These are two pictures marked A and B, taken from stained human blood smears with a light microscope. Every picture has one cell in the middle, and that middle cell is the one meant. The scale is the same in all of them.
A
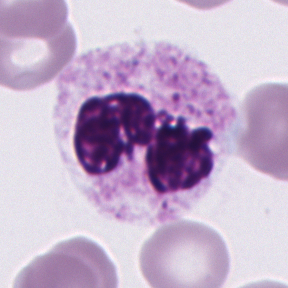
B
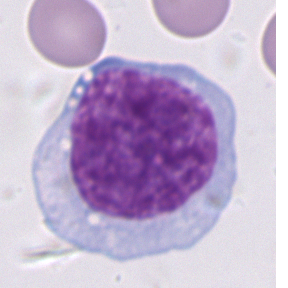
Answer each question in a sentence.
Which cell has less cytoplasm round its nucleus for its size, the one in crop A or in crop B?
It is the cell in crop B that is filled more by its nucleus.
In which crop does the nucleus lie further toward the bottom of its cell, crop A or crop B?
In crop A the nucleus is shifted more toward the bottom.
